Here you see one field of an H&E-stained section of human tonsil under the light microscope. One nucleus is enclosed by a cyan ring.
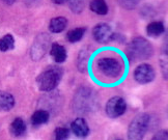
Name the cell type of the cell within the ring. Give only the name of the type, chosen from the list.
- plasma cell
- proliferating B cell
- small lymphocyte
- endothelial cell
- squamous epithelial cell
plasma cell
